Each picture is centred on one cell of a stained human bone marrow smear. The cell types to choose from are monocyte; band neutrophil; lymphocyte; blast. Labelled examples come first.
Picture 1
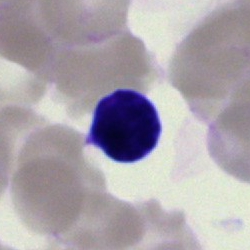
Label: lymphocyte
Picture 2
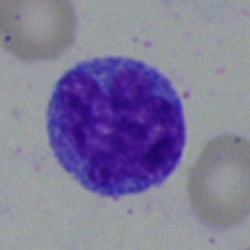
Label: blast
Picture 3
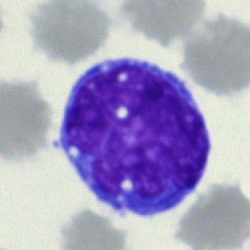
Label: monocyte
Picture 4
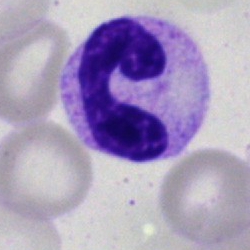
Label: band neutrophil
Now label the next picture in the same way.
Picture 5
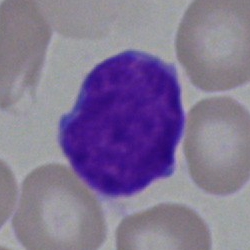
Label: blast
